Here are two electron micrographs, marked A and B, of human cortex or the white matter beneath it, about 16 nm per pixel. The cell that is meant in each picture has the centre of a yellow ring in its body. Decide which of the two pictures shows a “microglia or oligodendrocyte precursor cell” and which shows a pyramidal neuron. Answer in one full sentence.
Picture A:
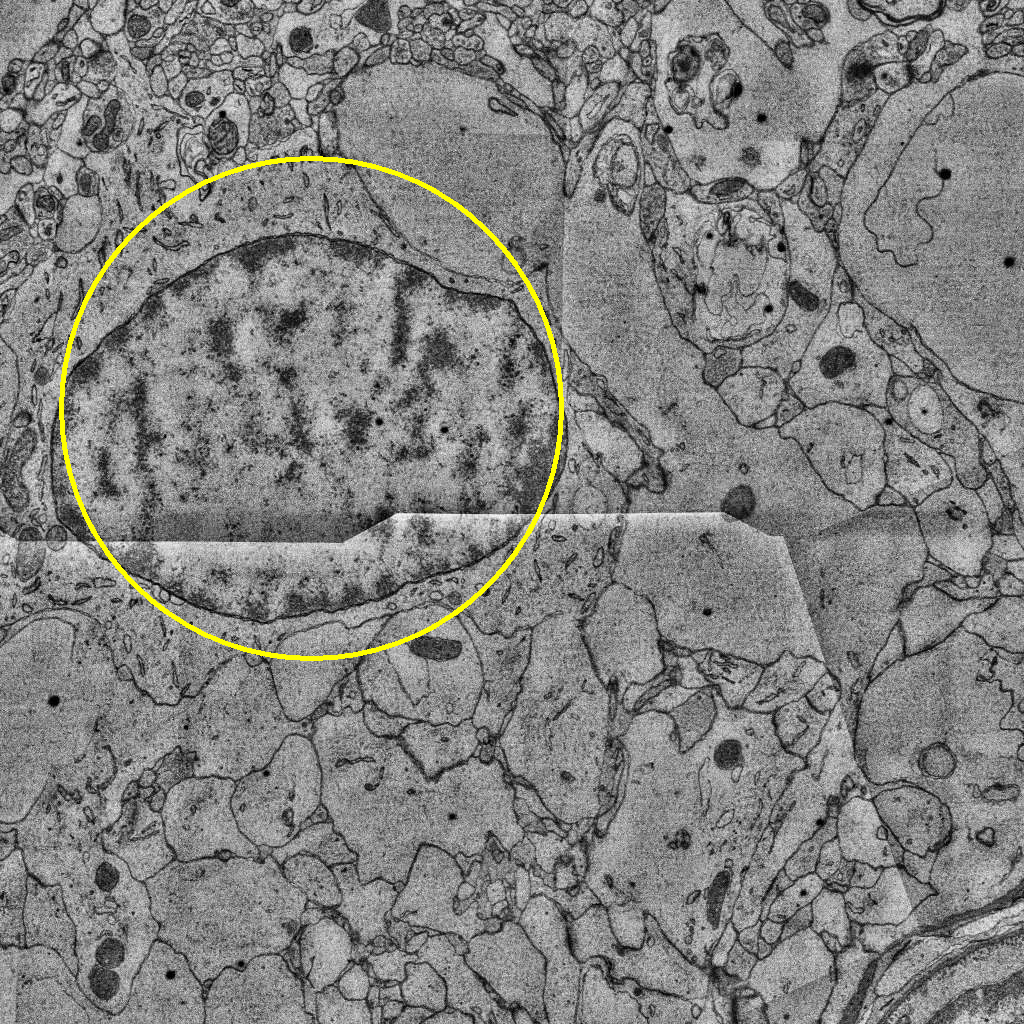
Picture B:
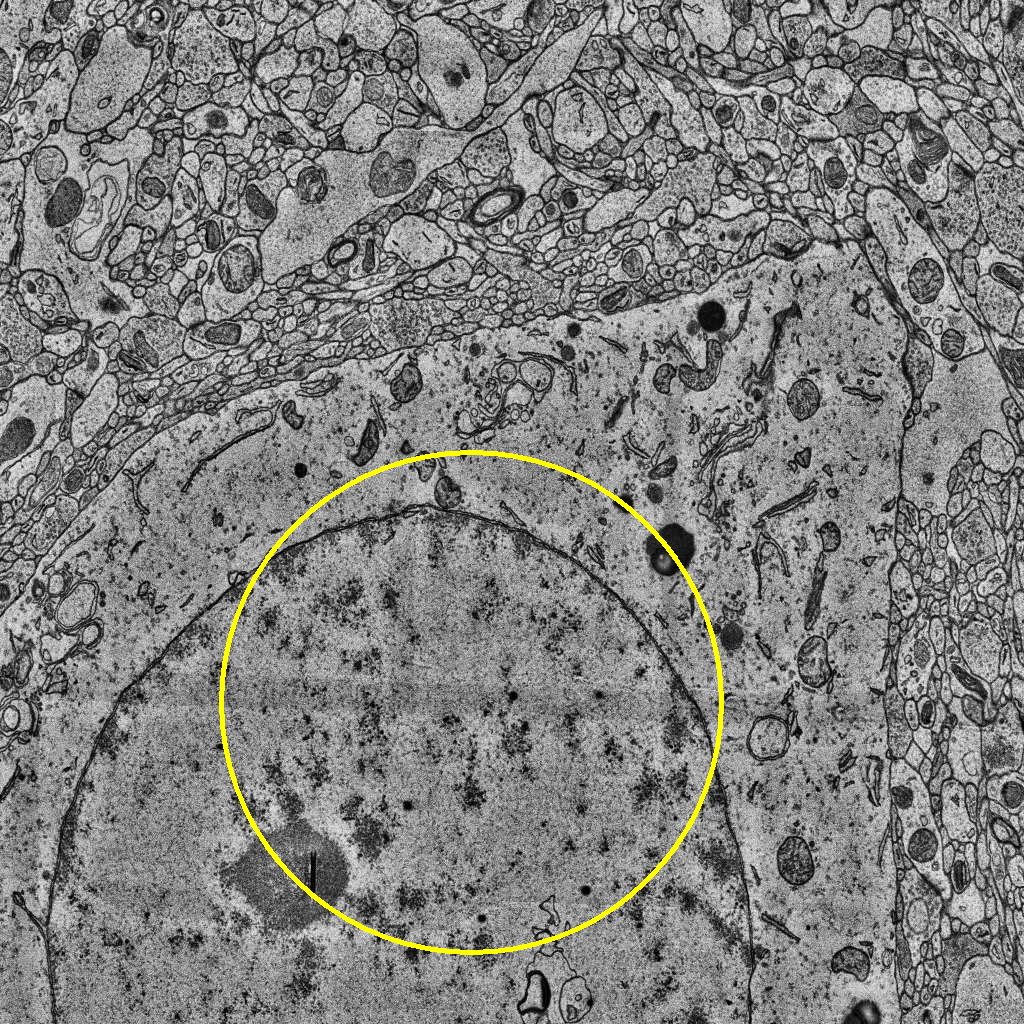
In picture A the cell is a “microglia or oligodendrocyte precursor cell”; in picture B, a pyramidal neuron.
